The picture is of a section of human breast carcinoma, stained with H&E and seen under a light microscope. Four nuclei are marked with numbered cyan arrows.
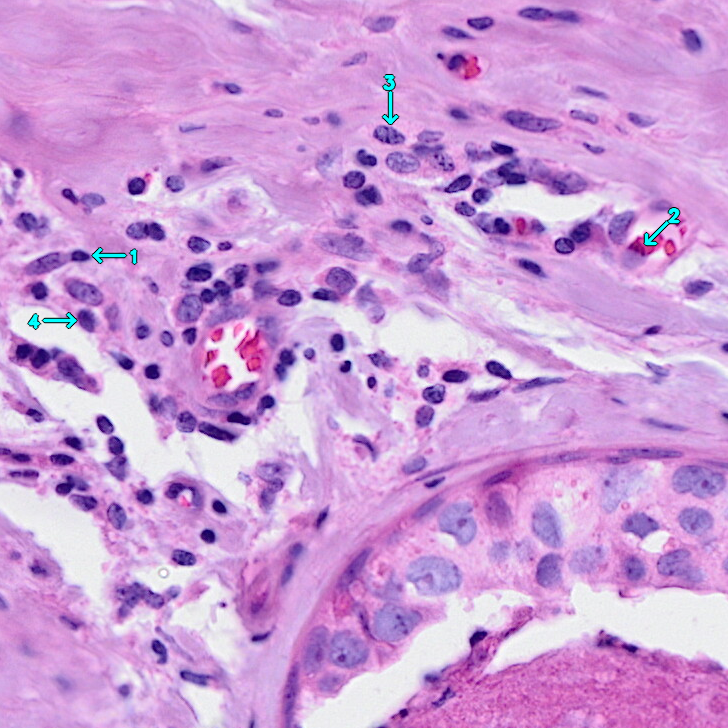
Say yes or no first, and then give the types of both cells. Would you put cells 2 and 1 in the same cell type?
No, cell 2 is an endothelial cell and cell 1 is a lymphocyte.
